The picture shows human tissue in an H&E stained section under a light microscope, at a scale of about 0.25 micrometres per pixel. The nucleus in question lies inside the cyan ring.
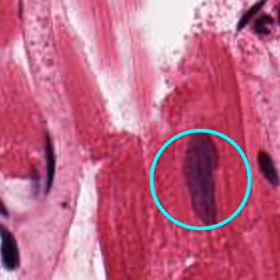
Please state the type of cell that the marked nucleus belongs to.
cardiomyocyte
